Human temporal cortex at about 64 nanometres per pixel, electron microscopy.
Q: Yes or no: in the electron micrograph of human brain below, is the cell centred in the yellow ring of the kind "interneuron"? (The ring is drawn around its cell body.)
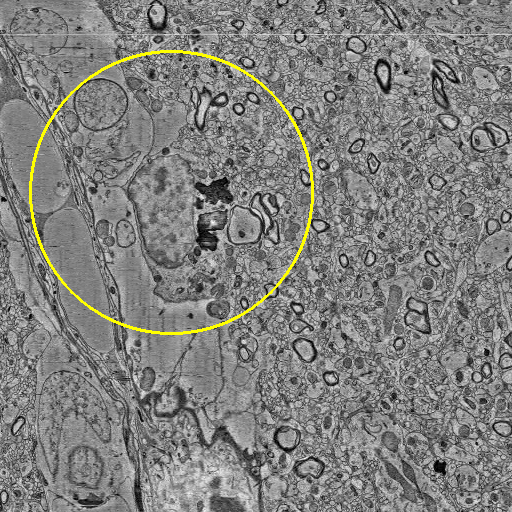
no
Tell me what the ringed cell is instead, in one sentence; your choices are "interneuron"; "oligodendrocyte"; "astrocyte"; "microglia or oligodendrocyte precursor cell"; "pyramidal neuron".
Instead, the cell at the centre of the yellow ring is an oligodendrocyte.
